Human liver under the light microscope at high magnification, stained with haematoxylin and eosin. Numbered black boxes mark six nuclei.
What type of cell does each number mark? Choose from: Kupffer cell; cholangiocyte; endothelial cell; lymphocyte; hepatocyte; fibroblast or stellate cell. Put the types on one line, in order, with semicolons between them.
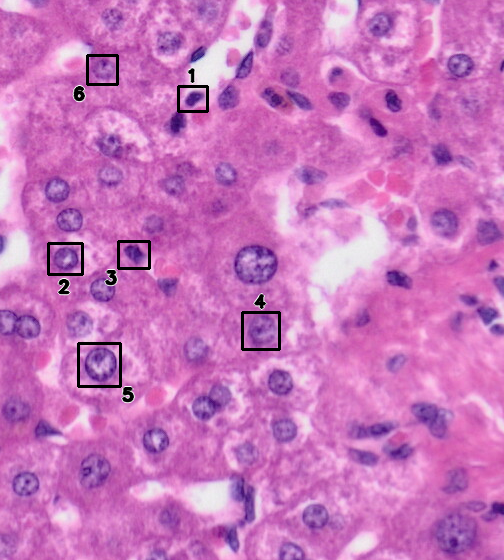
lymphocyte; hepatocyte; fibroblast or stellate cell; hepatocyte; hepatocyte; hepatocyte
